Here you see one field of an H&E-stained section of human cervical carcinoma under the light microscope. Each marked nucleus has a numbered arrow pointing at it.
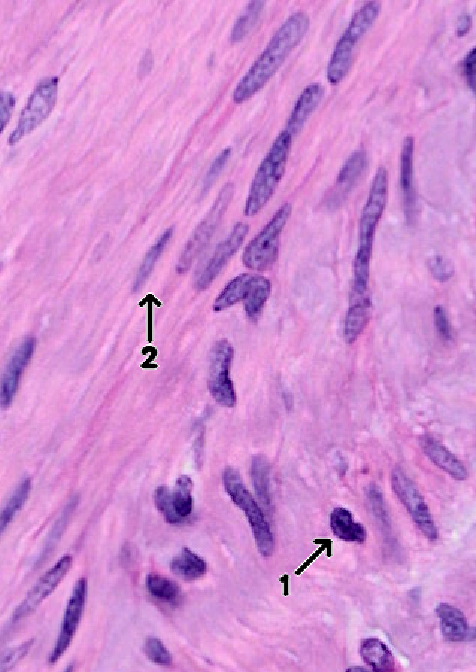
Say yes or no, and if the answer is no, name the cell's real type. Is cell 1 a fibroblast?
No, it is a lymphocyte.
